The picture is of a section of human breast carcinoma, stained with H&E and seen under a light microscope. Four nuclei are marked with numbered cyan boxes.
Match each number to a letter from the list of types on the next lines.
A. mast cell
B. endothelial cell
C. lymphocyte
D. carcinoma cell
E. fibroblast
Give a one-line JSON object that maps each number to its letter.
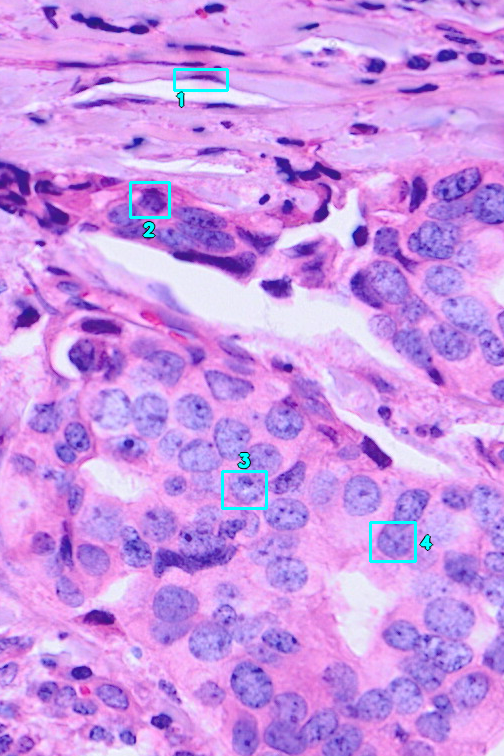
{"1": "E", "2": "D", "3": "D", "4": "D"}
